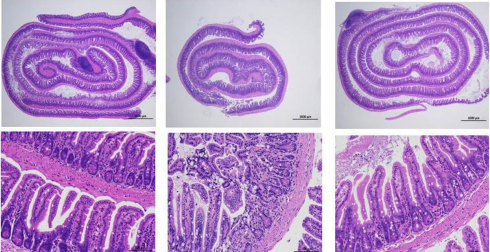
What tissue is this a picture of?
small intestinal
